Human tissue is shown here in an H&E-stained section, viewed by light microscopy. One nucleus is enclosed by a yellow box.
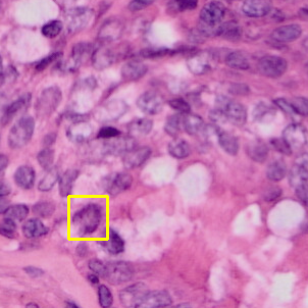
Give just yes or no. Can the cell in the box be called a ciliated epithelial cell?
yes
